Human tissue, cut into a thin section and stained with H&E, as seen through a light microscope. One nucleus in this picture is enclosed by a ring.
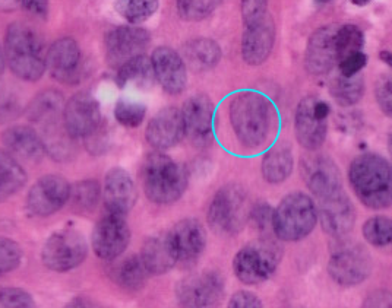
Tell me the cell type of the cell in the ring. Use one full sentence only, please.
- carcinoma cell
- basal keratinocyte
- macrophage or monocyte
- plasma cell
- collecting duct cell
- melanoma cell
Placed in its cell category, the cell in the ring is a carcinoma cell.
